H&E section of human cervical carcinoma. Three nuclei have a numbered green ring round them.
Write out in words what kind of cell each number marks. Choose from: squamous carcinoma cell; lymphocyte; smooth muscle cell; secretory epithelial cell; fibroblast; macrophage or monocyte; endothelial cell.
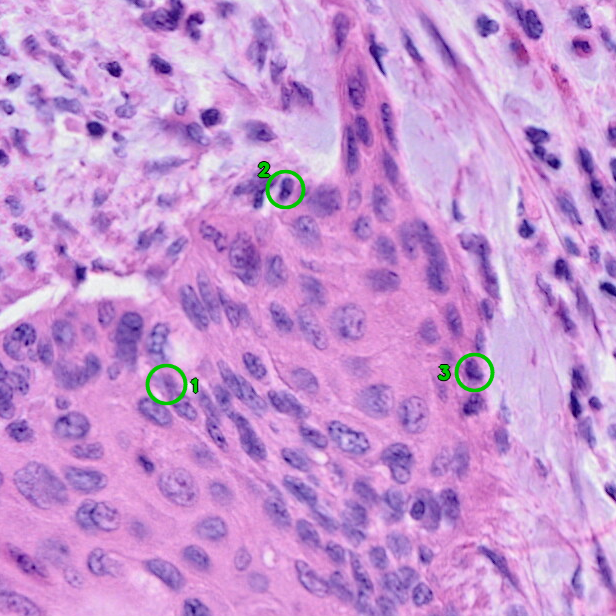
Cells 1 and 3 are squamous carcinoma cells. Cell 2 is a lymphocyte.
